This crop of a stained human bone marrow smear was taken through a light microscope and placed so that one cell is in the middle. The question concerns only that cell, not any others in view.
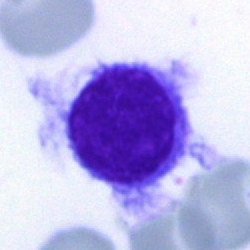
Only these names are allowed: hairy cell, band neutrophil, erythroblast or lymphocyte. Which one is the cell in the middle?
hairy cell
